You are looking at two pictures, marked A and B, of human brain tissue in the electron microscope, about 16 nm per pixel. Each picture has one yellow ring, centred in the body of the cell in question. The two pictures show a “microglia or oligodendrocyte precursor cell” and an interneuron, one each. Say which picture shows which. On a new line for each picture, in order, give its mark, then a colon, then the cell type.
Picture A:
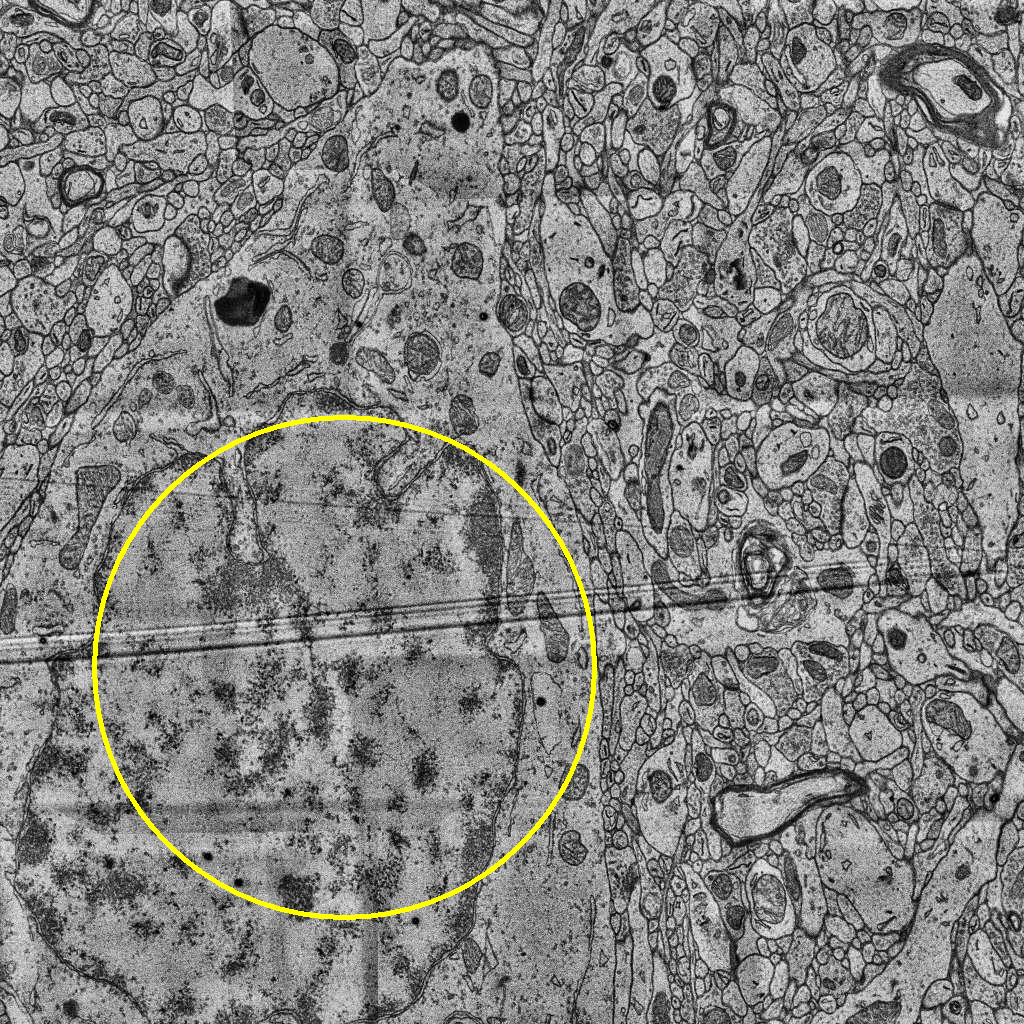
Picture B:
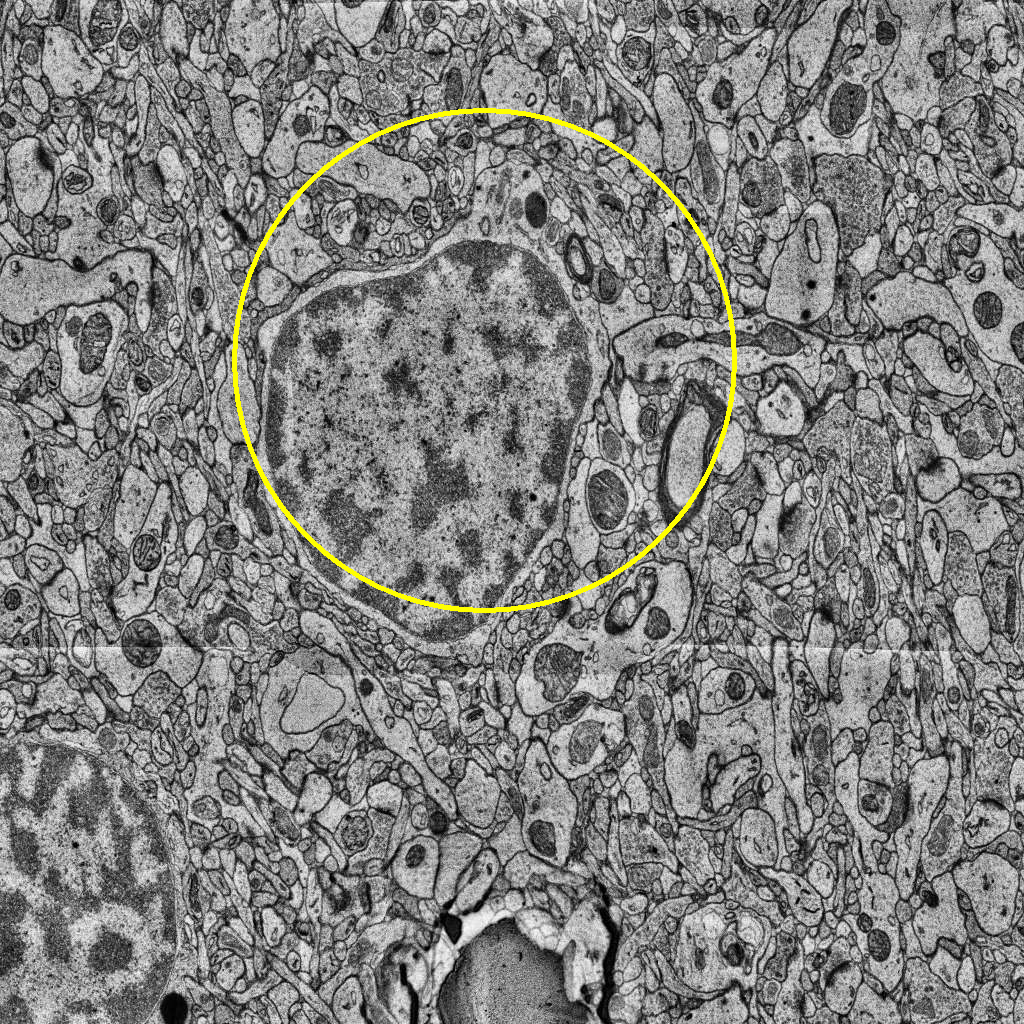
A: interneuron
B: microglia or oligodendrocyte precursor cell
